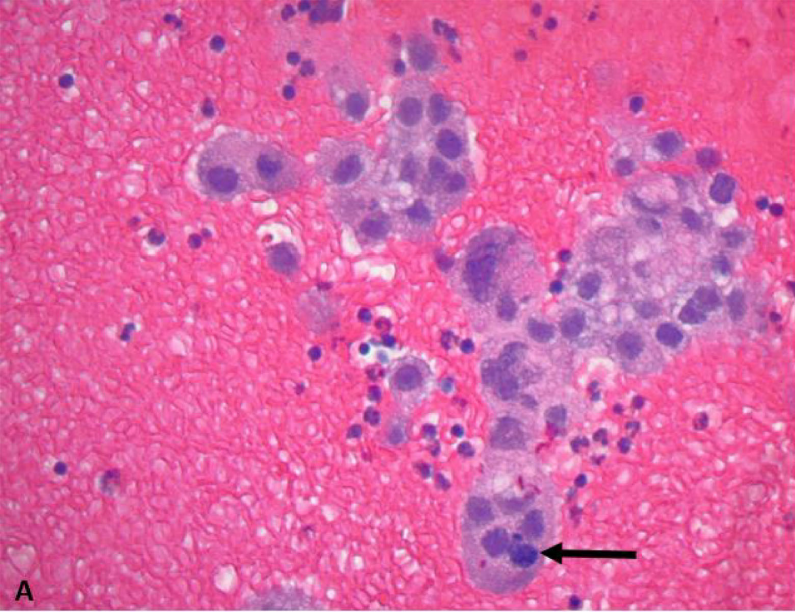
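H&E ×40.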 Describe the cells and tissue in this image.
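Clusters of large tumor cells form poorly shaped glands set in a pink, bubbly background with scattered small round inflammatory cells. The tumor cells have pale purple, vacuolated cytoplasm and dark, pleomorphic nuclei that vary in size and shape. One cell holds a dense, dark clump of chromatin marking a mitosis.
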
